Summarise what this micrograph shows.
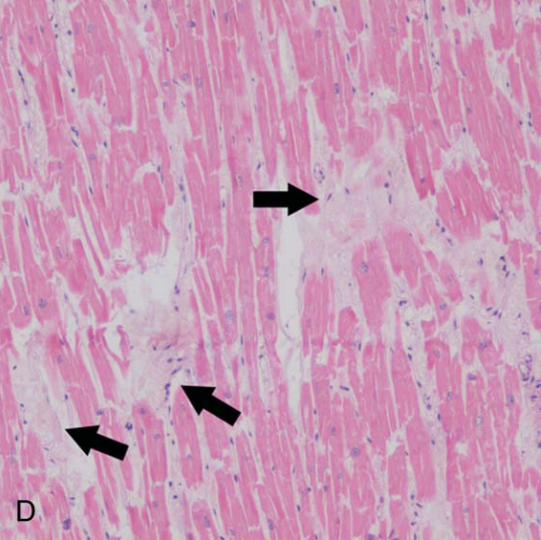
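This is heart muscle, with elongated cardiomyocytes running in roughly parallel bundles and stained pink. Their nuclei are small, oval and dark purple, lying singly within the fibres. Between the fibres lie several pale, almost empty patches where the pink cytoplasm has faded away and only wispy remnants are left. These patches are scattered through otherwise intact muscle. Narrow clear gaps also separate many of the fibres.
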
